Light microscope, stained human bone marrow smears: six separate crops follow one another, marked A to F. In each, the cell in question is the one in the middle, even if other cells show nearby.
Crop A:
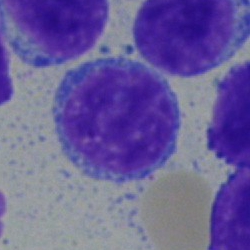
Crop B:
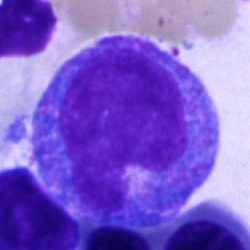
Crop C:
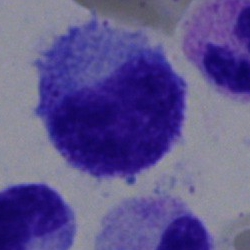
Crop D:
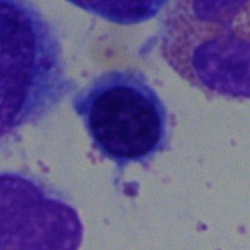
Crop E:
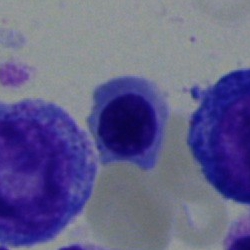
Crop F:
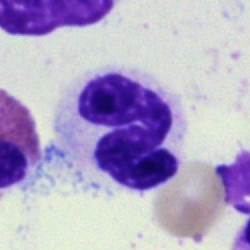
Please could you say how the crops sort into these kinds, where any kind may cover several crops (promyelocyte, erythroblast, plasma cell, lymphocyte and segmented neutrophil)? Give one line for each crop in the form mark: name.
A: lymphocyte
B: promyelocyte
C: promyelocyte
D: erythroblast
E: erythroblast
F: segmented neutrophil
